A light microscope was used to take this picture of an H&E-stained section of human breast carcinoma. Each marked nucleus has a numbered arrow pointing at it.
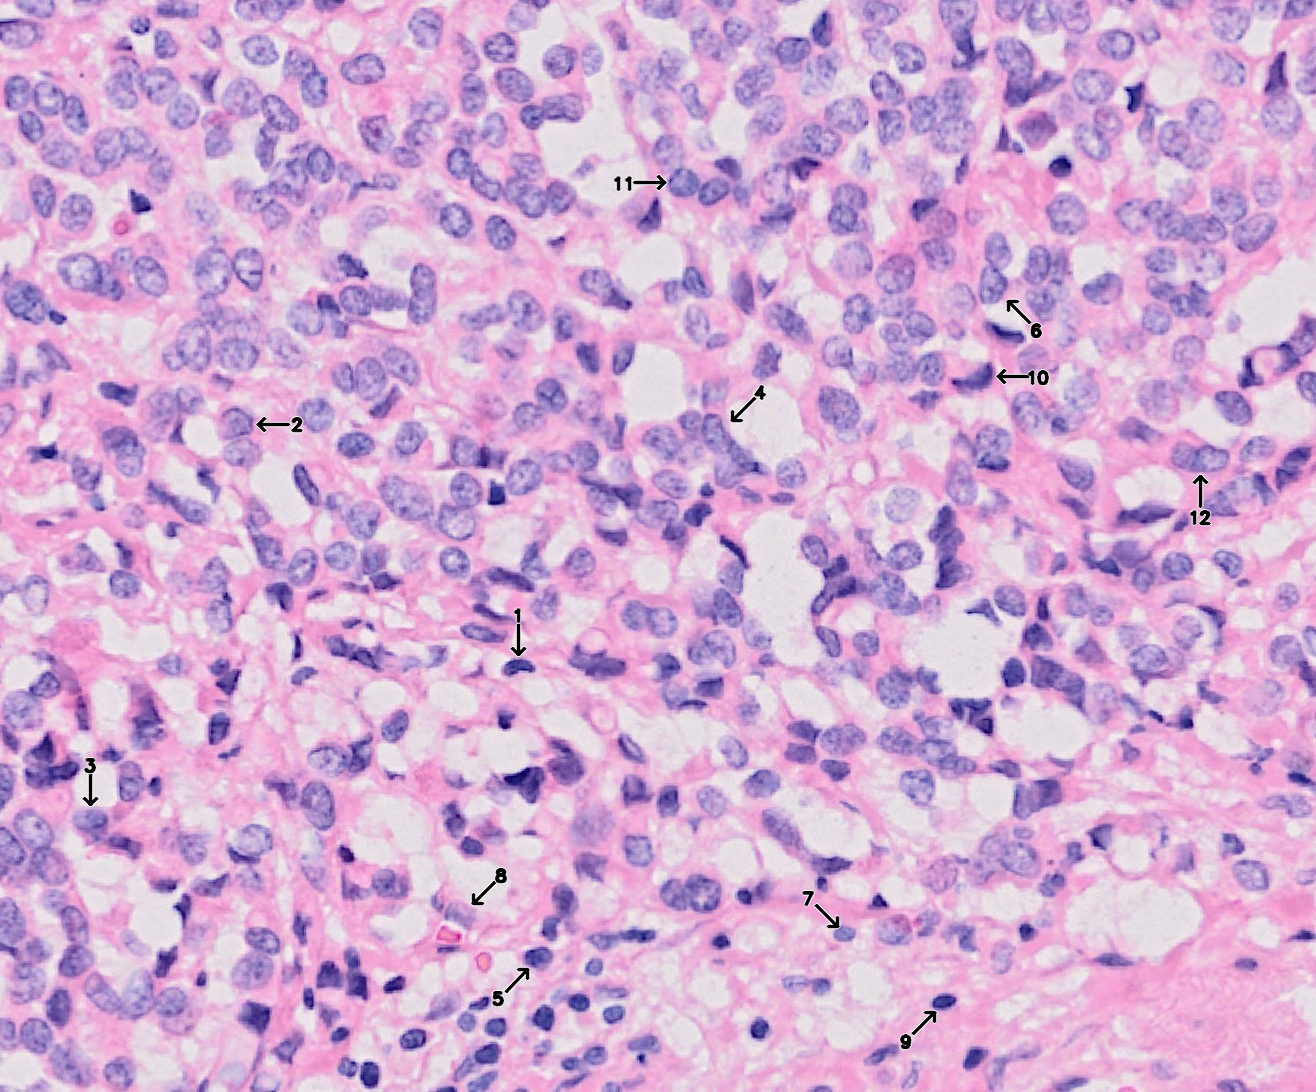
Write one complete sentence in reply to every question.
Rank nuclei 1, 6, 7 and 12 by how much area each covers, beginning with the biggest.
The nuclei rank 12, 6, 1, 7, from largest to smallest.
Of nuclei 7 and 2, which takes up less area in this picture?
Nucleus 7 covers less area, with nucleus 2 about 3 times as large.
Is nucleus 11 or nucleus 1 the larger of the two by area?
Nucleus 11 is larger, with an area about 1.5 times that of nucleus 1.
